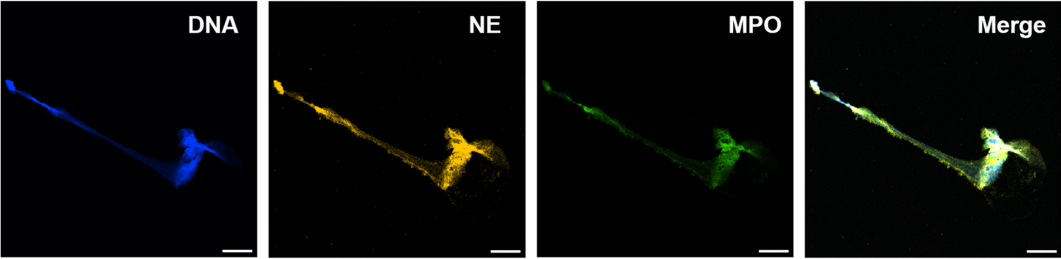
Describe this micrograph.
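The strand runs diagonally across the field to its far left end. The yellow and green stains follow the same strand and the same blob, and where they overlap in the merged image it looks nearly white.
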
